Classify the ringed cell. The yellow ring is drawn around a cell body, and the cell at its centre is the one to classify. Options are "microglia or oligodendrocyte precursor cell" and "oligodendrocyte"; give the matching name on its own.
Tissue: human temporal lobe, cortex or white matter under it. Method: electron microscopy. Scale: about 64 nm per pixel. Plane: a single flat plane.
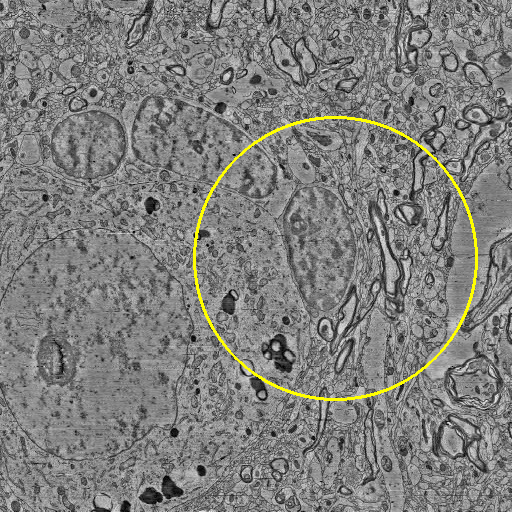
oligodendrocyte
